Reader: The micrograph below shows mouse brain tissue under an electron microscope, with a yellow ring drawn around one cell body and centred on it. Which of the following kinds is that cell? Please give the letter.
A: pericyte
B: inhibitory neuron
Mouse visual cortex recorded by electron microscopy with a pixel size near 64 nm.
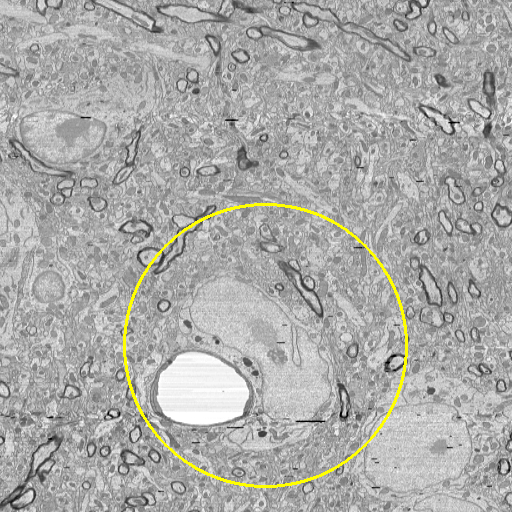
B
